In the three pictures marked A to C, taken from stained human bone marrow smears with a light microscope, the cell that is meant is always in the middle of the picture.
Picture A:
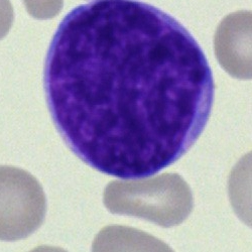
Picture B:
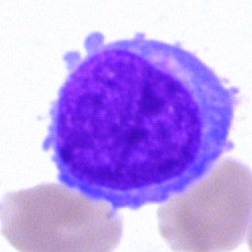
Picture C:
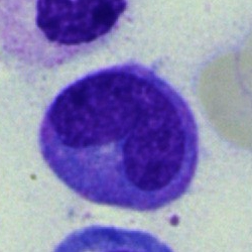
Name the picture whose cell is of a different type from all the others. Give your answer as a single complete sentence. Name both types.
All pictures except C show blasts; picture C shows a monocyte.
